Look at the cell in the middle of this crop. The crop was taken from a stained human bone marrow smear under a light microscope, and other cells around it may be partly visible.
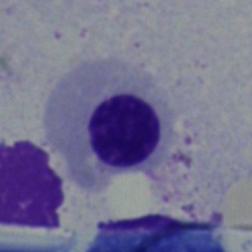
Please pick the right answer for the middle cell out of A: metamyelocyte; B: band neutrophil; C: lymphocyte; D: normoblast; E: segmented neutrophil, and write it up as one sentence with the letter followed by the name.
Option D correctly states that the central cell is a normoblast.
